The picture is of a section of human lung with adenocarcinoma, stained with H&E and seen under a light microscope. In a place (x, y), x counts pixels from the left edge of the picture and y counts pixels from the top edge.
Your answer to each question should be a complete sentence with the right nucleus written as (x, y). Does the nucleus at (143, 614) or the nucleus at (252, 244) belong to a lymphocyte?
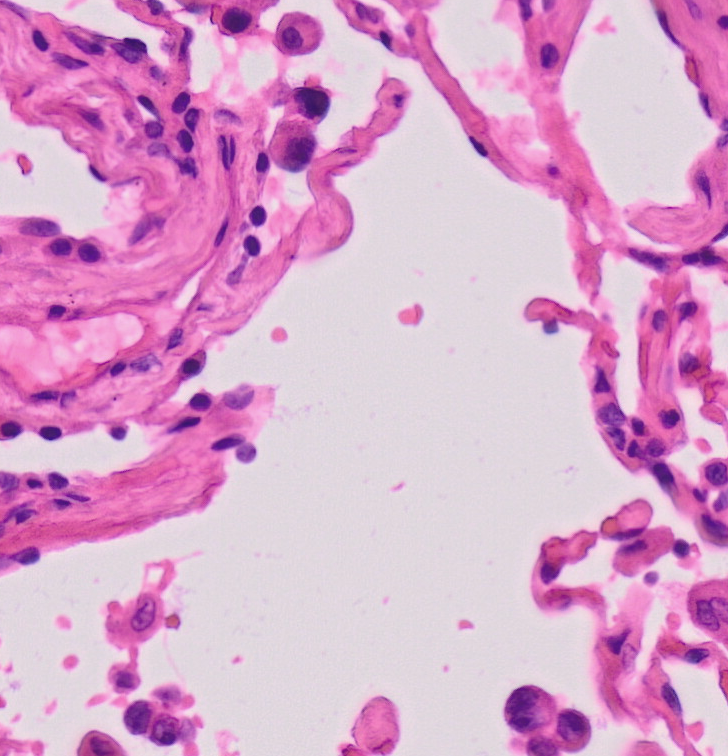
Out of the two, it is the nucleus at (252, 244) that belongs to a lymphocyte.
